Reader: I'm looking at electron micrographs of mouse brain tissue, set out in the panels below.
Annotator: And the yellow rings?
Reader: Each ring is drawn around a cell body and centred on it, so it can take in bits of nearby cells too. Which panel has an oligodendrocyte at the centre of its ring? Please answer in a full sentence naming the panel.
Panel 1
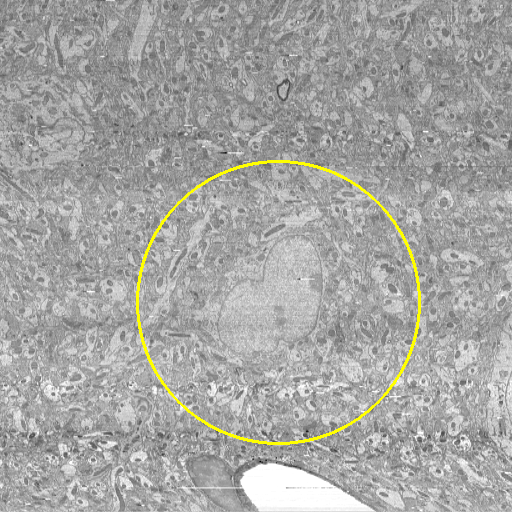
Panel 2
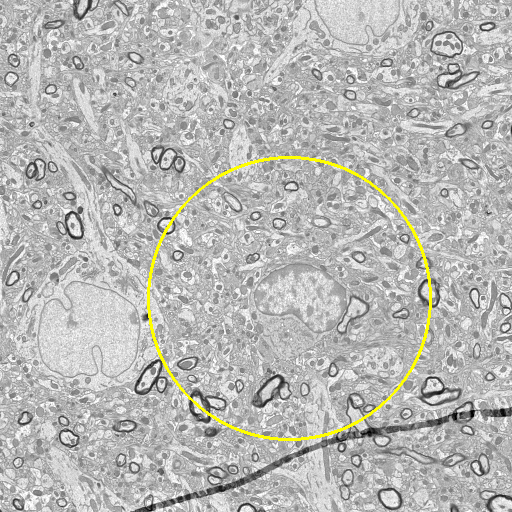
Panel 2 has it at the centre of its ring.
